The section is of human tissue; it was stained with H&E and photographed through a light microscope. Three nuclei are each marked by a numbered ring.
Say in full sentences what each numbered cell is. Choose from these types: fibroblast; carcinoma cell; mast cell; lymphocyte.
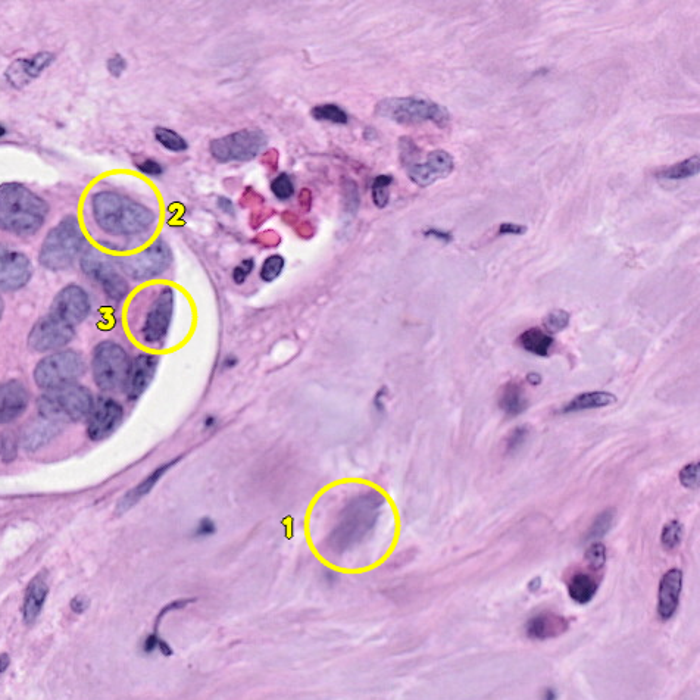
Cell 1 is a fibroblast. Cells 2 and 3 are carcinoma cells.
